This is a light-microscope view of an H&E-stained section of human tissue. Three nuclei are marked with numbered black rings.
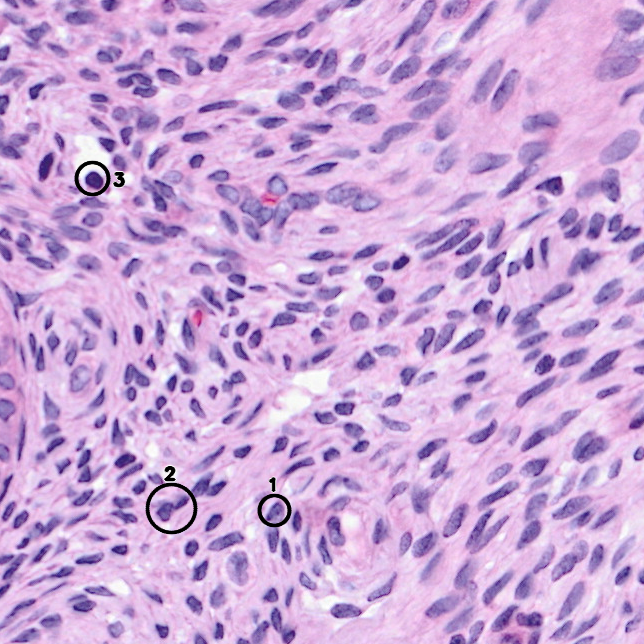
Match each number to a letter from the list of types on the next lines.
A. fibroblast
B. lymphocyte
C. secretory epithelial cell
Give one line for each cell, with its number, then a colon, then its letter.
1: A
2: A
3: B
